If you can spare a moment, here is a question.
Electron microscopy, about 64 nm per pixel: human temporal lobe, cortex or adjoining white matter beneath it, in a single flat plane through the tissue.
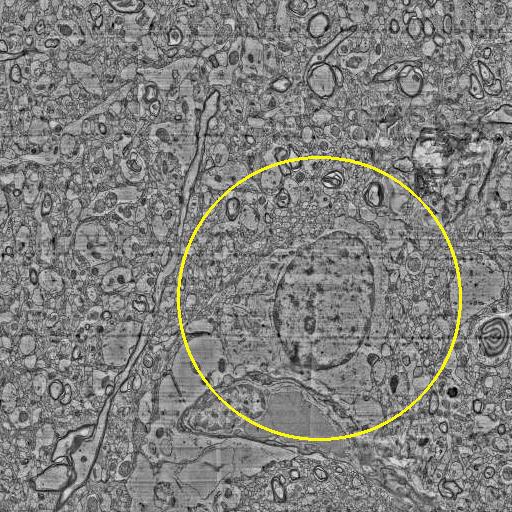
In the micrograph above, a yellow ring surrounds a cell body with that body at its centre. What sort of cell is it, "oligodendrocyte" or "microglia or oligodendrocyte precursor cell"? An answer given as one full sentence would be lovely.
Centred inside the yellow ring, the cell body shown belongs to a microglial cell or oligodendrocyte precursor cell in this micrograph.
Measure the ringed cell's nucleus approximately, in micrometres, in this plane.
About 9 by 6 micrometers, in this plane.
